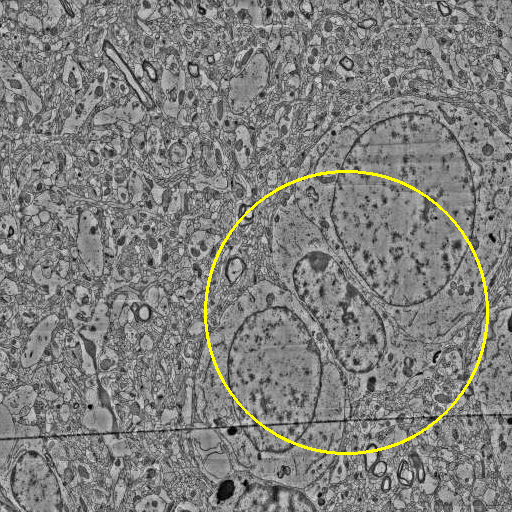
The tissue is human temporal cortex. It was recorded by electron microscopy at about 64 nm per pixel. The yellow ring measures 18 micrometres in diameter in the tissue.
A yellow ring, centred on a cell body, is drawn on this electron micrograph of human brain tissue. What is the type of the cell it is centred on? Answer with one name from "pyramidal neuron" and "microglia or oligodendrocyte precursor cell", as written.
microglia or oligodendrocyte precursor cell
